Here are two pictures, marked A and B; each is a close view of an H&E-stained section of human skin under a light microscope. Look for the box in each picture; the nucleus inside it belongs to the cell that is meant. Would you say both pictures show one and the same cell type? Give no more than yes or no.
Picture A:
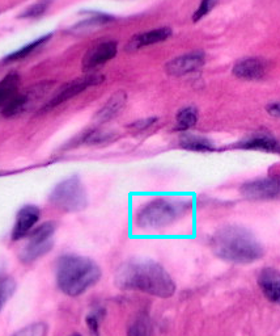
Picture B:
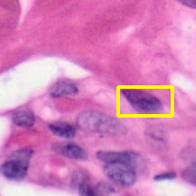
no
